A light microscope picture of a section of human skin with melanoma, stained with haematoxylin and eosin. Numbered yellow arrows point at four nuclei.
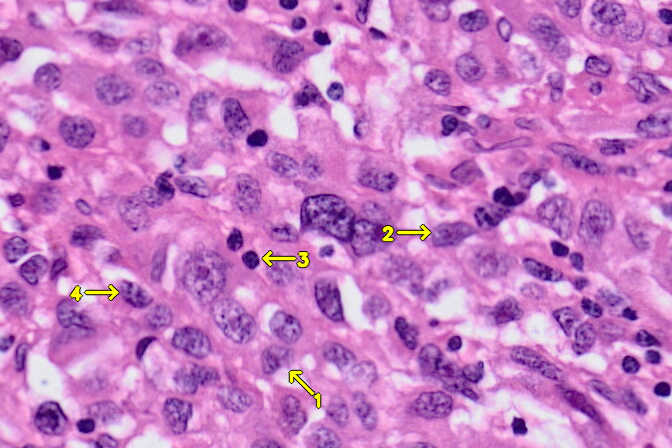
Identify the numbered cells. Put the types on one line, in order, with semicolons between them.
melanoma cell; melanoma cell; lymphocyte; melanoma cell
